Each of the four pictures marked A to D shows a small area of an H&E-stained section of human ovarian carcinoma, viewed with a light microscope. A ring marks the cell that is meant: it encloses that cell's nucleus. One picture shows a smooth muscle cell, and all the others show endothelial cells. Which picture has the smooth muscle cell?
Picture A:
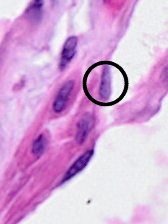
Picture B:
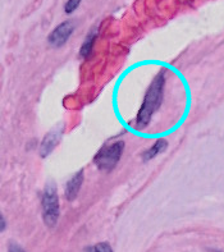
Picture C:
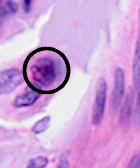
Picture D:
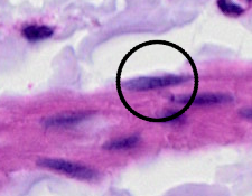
D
